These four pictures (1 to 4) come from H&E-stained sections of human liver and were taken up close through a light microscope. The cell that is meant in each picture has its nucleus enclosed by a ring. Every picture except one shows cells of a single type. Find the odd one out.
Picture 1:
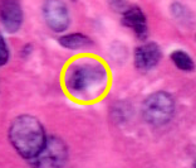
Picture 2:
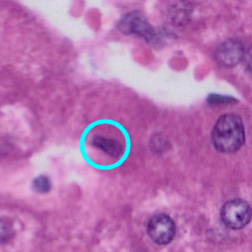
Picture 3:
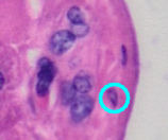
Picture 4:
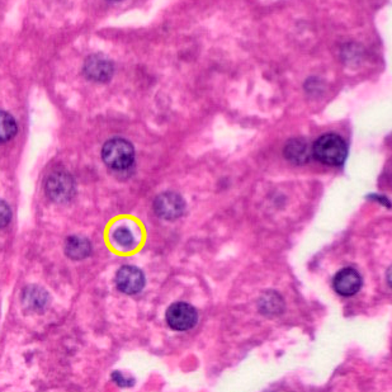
4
